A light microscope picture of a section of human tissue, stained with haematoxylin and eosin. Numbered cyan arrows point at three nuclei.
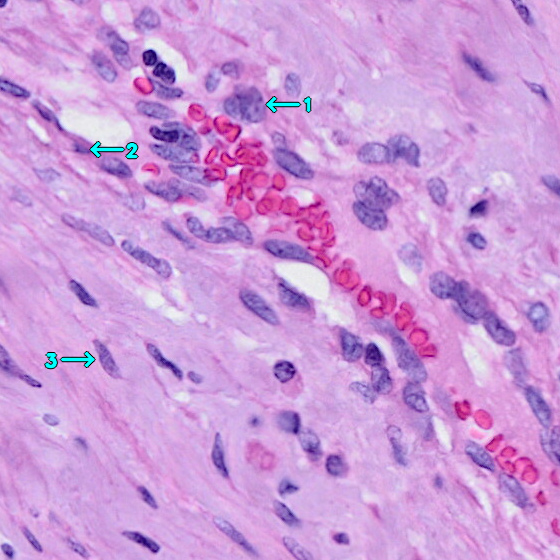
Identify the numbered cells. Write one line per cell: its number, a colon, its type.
1: endothelial cell
2: endothelial cell
3: fibroblast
